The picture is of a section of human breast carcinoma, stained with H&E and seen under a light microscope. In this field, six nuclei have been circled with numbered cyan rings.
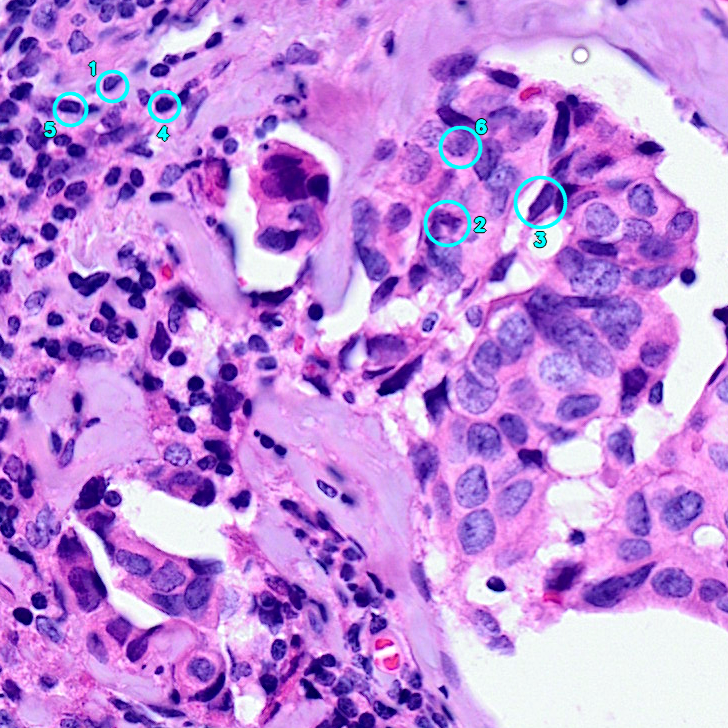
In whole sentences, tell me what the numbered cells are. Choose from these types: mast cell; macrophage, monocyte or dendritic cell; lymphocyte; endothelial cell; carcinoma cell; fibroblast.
Cells 1, 4 and 5 are lymphocytes. Cells 2, 3 and 6 are carcinoma cells.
